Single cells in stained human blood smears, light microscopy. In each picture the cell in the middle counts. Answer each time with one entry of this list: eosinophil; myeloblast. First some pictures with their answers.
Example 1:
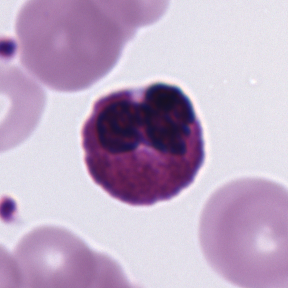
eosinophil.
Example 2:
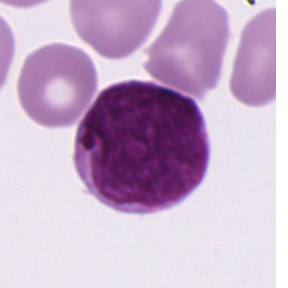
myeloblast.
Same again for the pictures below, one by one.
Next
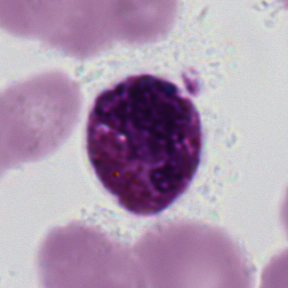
eosinophil.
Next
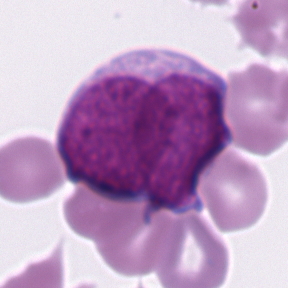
myeloblast.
